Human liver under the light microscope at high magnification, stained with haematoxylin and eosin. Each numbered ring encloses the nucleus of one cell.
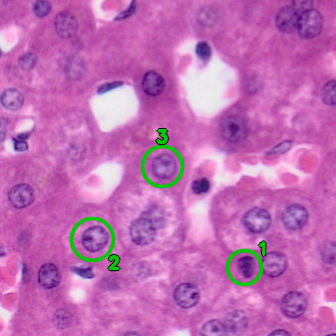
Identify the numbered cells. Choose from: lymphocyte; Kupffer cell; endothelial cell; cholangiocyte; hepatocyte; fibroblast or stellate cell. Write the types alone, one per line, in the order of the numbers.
fibroblast or stellate cell
hepatocyte
hepatocyte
